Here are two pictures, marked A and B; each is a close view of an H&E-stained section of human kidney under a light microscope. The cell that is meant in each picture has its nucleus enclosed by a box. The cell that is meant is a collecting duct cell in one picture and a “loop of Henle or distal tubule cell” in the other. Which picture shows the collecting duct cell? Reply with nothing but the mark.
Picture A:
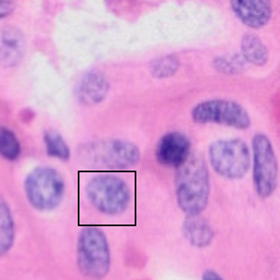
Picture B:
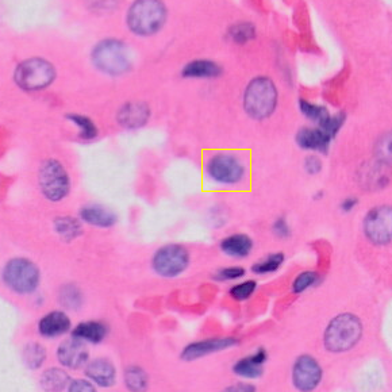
A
